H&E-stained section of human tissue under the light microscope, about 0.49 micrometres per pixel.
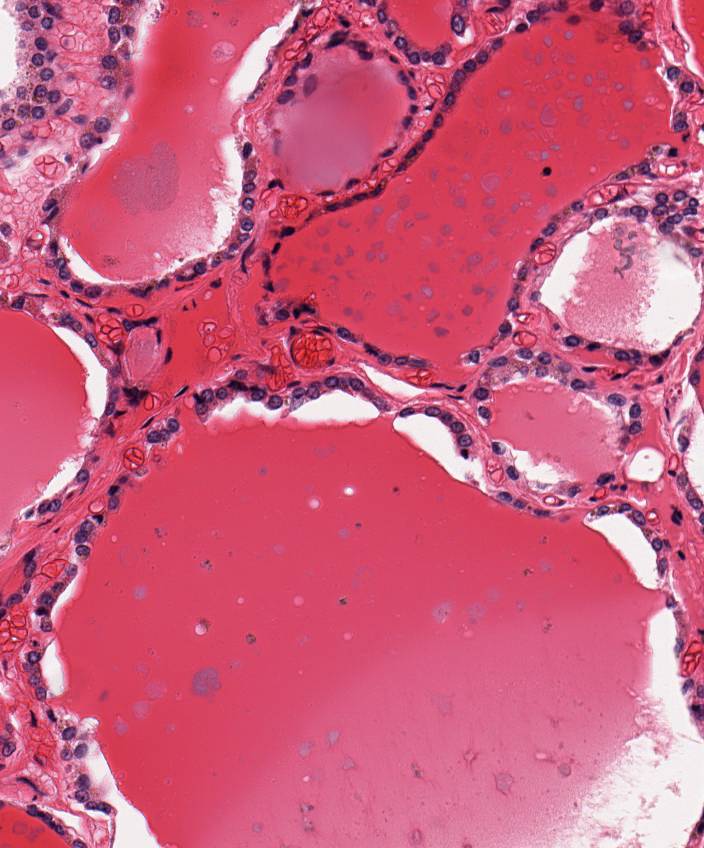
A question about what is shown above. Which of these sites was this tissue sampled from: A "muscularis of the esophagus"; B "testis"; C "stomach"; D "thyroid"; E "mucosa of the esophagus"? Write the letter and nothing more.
D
